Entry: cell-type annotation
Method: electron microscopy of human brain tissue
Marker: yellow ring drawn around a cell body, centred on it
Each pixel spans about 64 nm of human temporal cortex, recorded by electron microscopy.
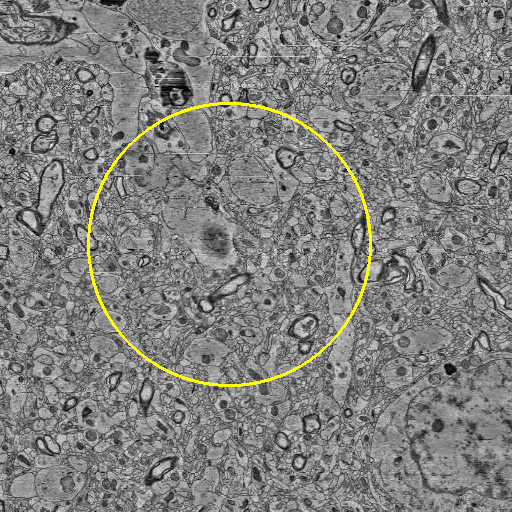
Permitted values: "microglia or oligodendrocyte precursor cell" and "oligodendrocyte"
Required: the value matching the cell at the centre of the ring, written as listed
microglia or oligodendrocyte precursor cell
